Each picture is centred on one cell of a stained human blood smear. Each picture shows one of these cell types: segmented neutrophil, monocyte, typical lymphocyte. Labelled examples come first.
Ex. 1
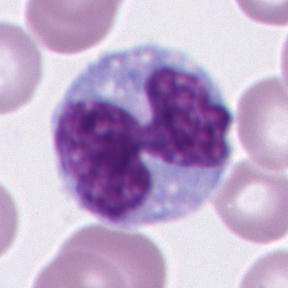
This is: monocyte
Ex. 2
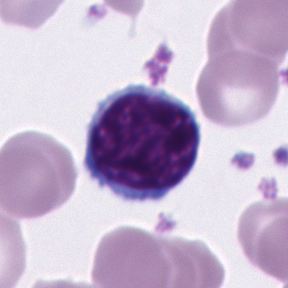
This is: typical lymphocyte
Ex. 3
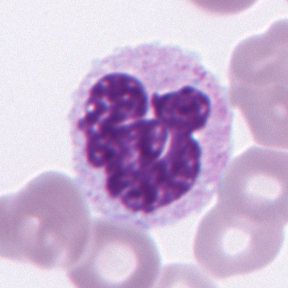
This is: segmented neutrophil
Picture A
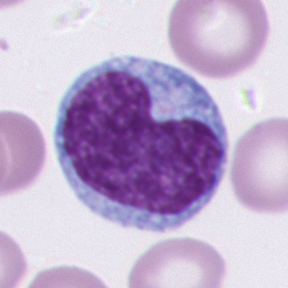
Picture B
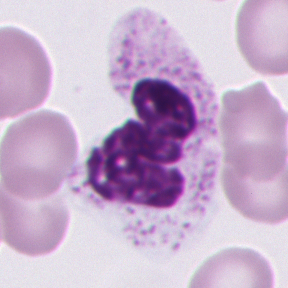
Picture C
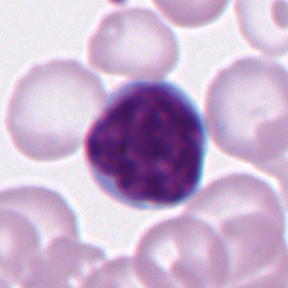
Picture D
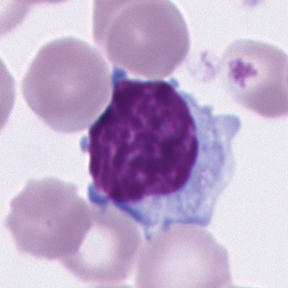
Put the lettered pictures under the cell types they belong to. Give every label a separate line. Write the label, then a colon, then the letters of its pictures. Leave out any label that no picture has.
segmented neutrophil: B
monocyte: A
typical lymphocyte: C, D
